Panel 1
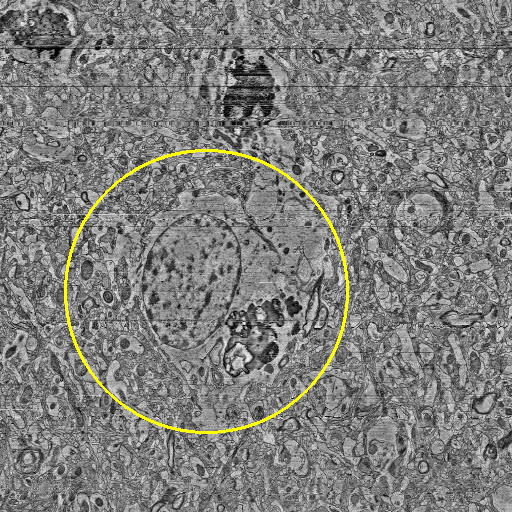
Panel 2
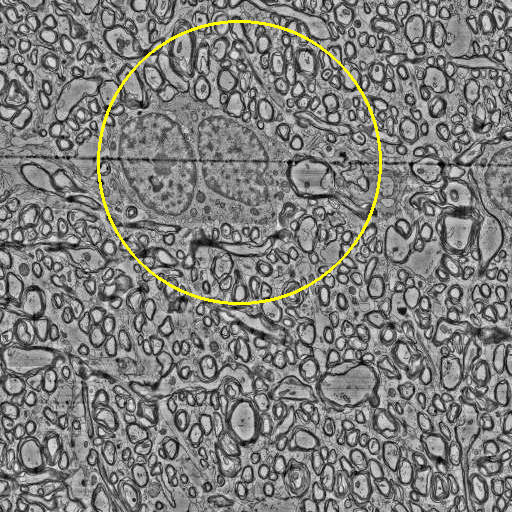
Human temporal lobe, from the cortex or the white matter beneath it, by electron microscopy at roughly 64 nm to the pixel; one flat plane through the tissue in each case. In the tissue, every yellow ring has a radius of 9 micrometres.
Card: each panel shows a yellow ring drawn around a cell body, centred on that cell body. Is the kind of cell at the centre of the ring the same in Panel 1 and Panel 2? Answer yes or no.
no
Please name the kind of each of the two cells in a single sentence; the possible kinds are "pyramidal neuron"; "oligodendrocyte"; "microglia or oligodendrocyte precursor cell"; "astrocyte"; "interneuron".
In the first picture the ring is centred on an astrocyte, and in the second on an oligodendrocyte.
